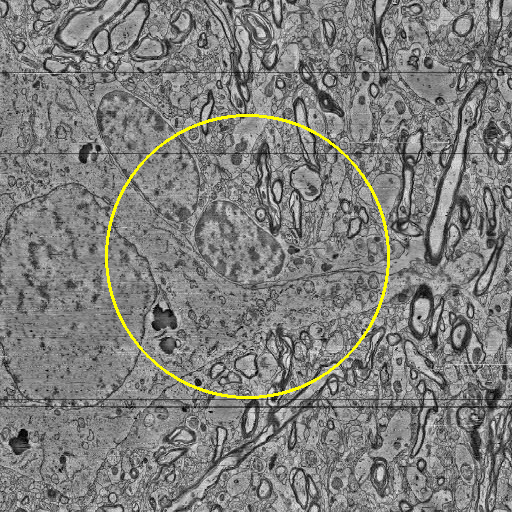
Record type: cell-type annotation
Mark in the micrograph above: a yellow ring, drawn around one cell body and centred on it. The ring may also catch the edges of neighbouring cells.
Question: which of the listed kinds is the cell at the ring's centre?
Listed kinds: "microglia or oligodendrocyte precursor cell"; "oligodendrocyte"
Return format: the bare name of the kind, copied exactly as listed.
microglia or oligodendrocyte precursor cell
